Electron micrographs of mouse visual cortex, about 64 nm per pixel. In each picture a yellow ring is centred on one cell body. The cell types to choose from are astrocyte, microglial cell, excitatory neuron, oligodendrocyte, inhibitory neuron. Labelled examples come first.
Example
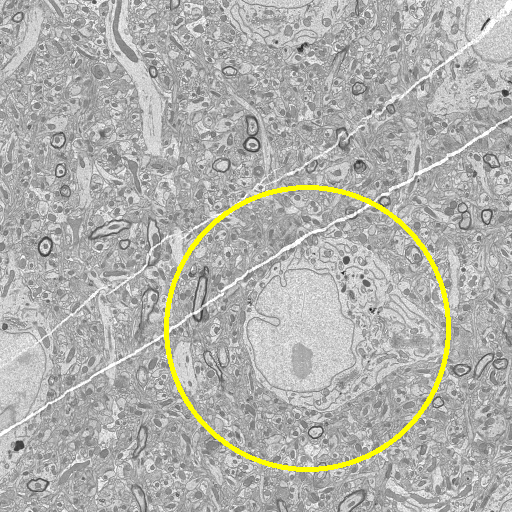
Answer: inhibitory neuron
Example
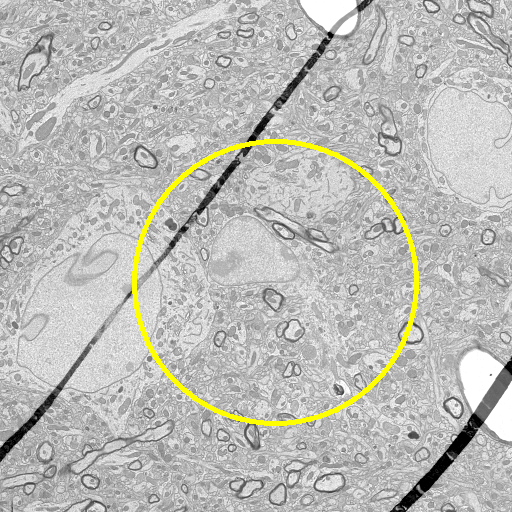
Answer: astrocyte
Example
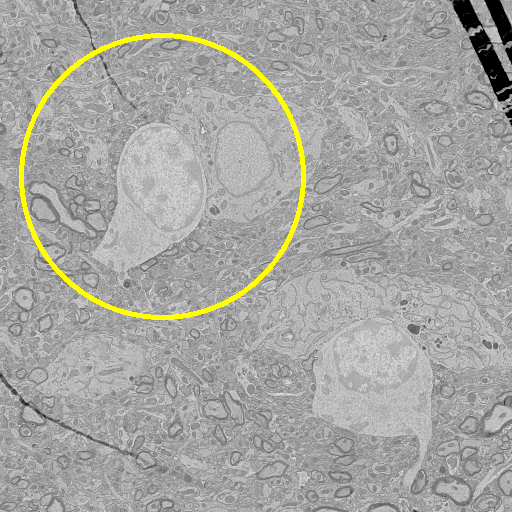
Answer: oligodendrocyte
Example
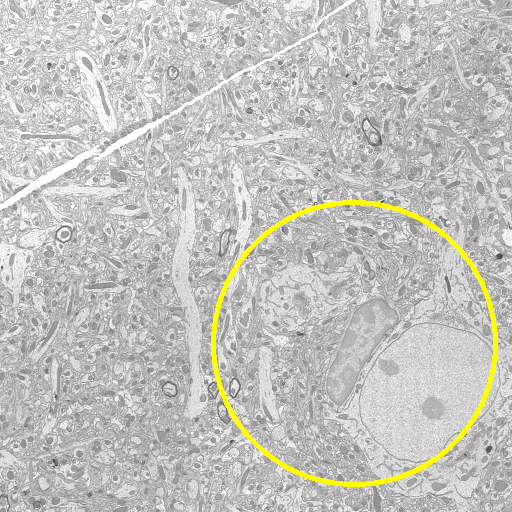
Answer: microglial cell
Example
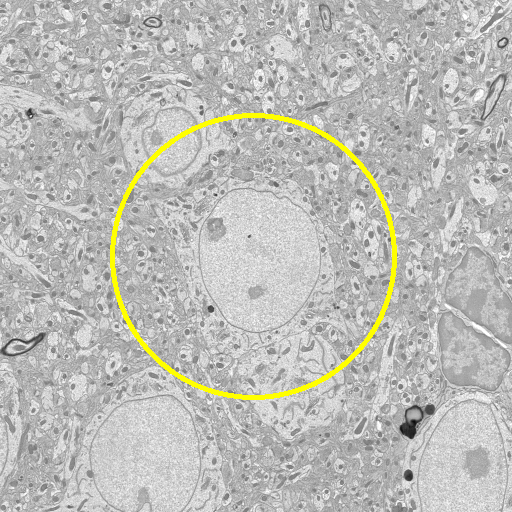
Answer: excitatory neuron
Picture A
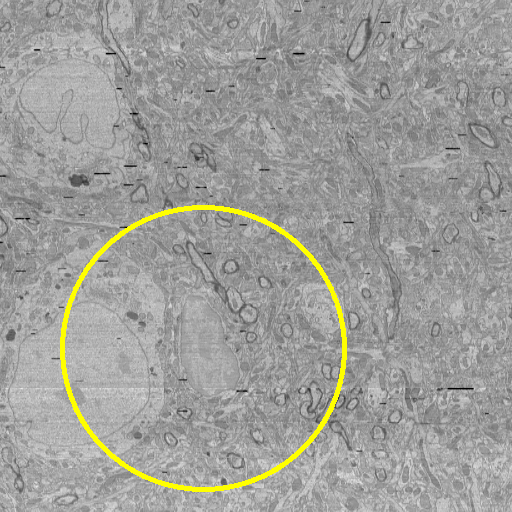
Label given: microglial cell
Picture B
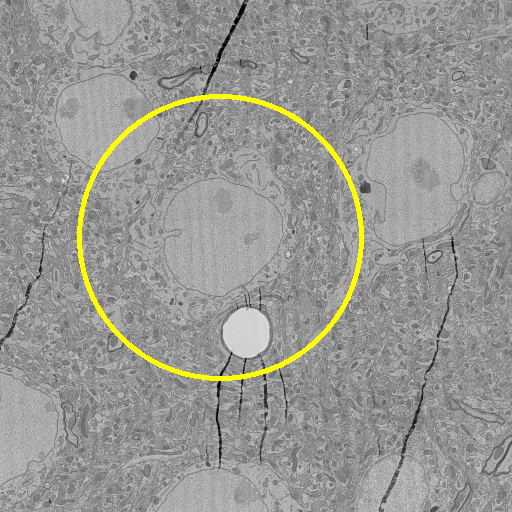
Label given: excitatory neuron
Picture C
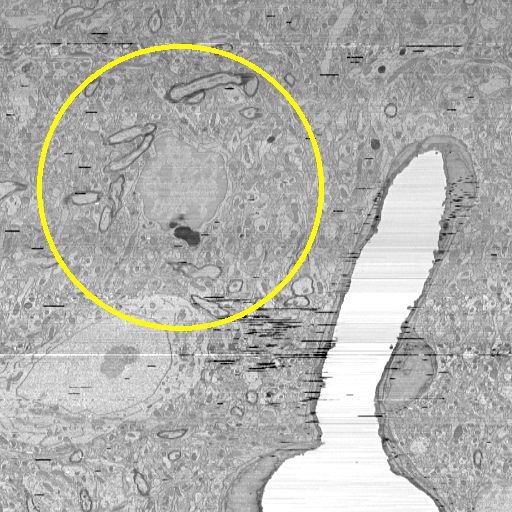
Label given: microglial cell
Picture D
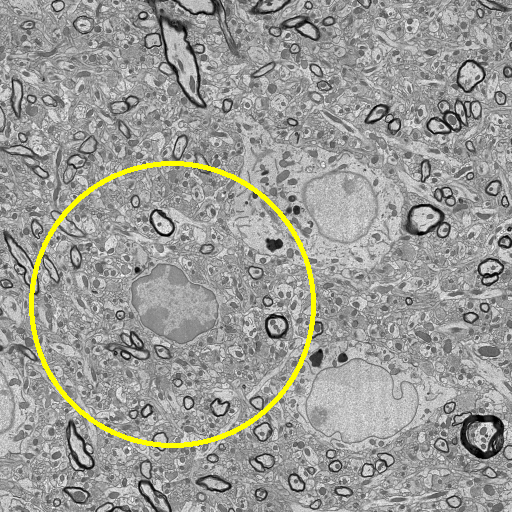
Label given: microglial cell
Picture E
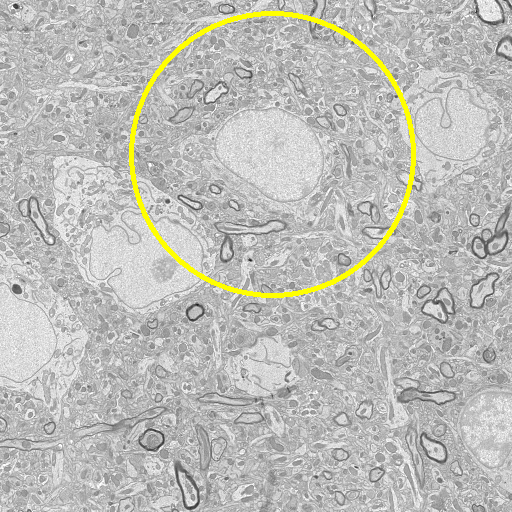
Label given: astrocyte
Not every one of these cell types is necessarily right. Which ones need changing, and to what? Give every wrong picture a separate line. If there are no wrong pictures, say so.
None of the labels needs changing.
